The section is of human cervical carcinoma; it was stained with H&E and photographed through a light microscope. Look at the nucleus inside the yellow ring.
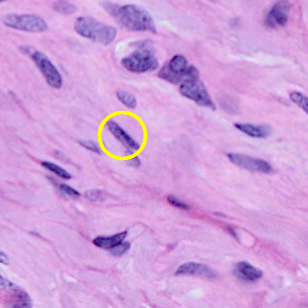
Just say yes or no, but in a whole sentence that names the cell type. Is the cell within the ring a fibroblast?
Yes, the identification of the cell within the ring as a fibroblast stands.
